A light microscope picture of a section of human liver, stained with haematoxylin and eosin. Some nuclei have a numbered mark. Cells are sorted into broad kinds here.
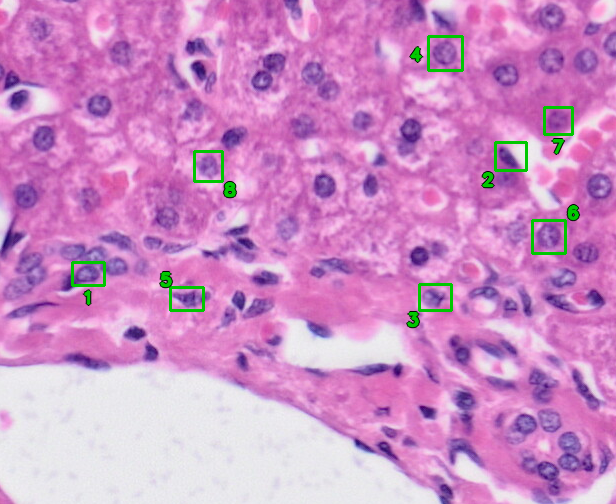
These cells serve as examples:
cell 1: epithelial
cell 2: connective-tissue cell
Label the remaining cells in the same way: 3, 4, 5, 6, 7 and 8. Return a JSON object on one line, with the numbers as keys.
{"3": "connective-tissue cell", "4": "epithelial", "5": "connective-tissue cell", "6": "epithelial", "7": "epithelial", "8": "epithelial"}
